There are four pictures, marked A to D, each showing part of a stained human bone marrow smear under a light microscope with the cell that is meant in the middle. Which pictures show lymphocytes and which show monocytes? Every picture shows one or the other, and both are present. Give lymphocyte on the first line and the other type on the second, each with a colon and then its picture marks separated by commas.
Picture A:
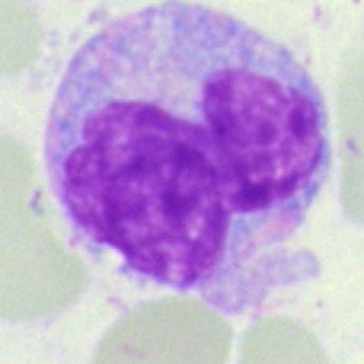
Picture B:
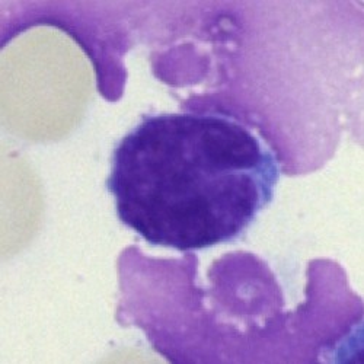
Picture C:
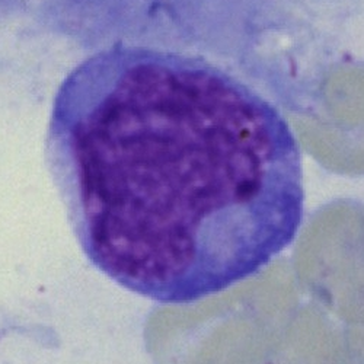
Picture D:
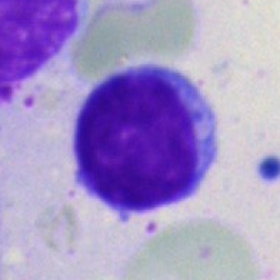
lymphocyte: B, D
monocyte: A, C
